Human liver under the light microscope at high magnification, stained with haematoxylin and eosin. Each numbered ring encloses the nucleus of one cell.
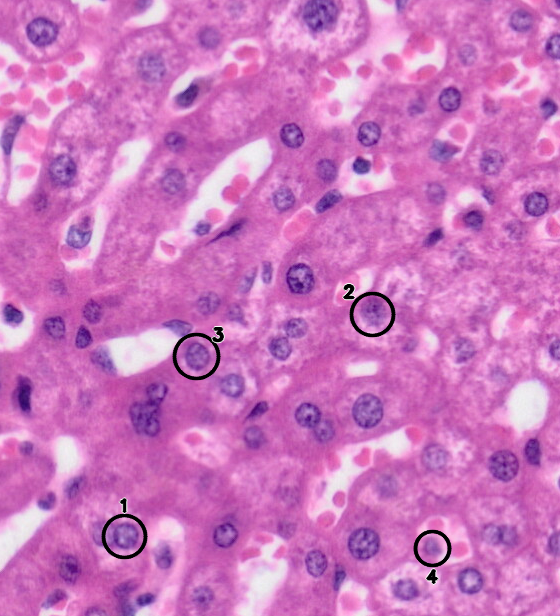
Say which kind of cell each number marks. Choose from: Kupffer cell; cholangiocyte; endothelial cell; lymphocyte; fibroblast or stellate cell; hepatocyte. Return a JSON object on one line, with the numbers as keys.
{"1": "hepatocyte", "2": "hepatocyte", "3": "hepatocyte", "4": "Kupffer cell"}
